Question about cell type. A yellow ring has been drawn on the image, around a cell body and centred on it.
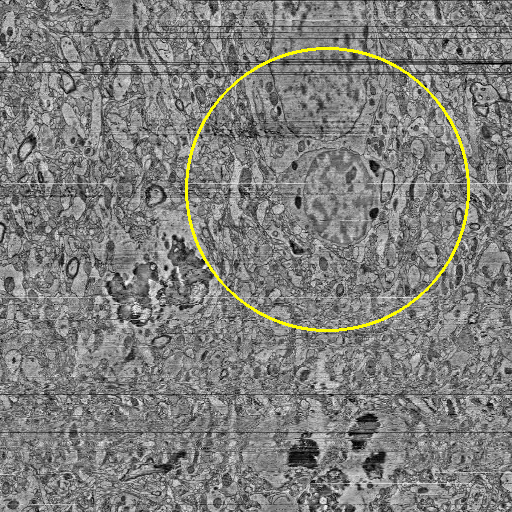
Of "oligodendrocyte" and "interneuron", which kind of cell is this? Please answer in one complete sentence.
At the centre of the ring lies an oligodendrocyte.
